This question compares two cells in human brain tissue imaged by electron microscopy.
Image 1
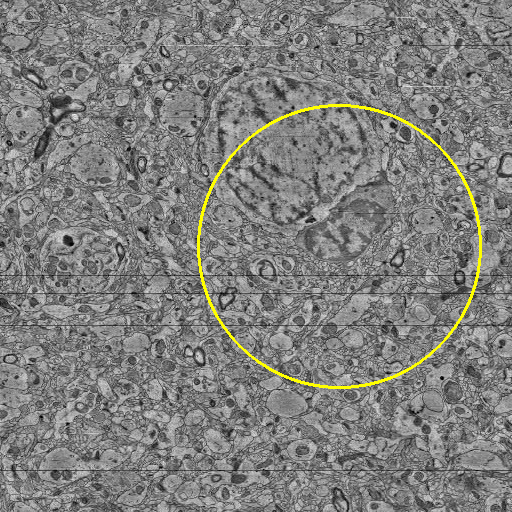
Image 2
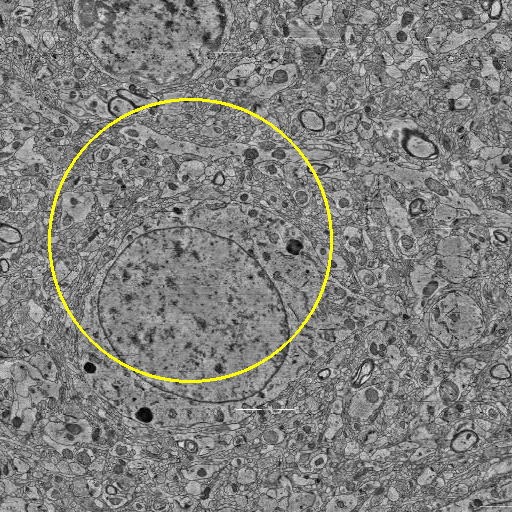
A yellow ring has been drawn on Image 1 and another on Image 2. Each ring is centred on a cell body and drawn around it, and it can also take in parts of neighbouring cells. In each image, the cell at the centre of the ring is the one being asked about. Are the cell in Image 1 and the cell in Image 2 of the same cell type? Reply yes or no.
no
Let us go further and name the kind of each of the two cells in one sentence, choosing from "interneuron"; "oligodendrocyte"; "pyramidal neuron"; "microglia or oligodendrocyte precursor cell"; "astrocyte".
The ring of the first picture is on an oligodendrocyte, the ring of the second on a pyramidal neuron.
